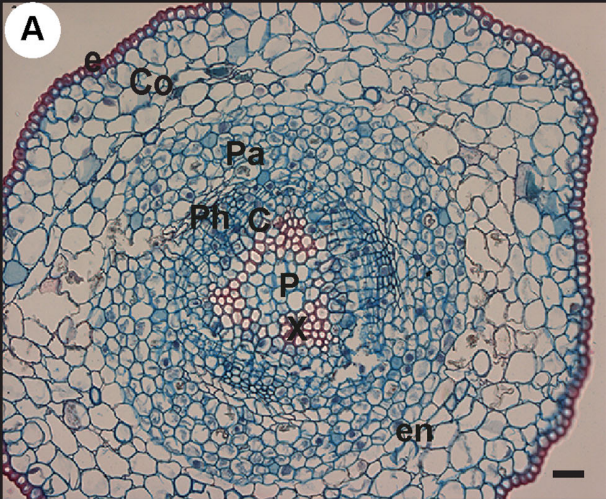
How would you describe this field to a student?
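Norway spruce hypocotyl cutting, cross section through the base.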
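The epidermis is a single outer layer of small cells with red-stained outer walls. Inside it the cortex is made of large, rounded, thin-walled parenchyma cells with blue walls and large clear spaces. Toward the centre, a ring of much smaller cells in radial rows forms the phloem and cambium region. At the core, groups of thick-walled, red-stained xylem cells surround a small central pith.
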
